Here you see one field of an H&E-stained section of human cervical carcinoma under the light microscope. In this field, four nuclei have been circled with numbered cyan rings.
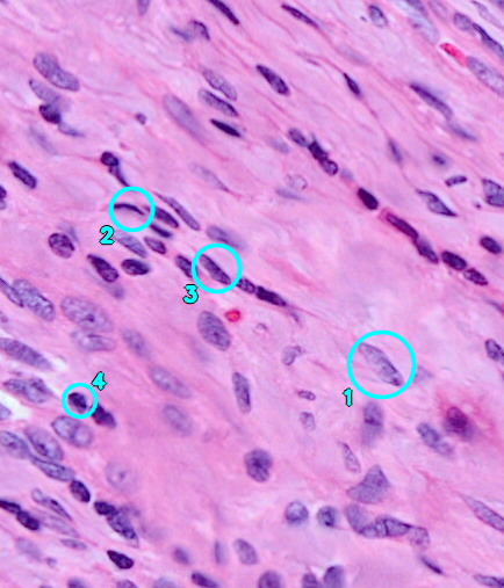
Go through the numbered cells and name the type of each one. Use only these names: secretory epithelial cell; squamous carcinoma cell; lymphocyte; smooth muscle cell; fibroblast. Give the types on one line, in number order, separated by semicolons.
fibroblast; fibroblast; fibroblast; lymphocyte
